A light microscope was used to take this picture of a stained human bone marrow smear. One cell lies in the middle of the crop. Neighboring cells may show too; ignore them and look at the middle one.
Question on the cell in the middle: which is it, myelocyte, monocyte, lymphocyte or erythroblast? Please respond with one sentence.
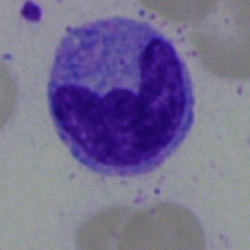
For this crop, the central cell is a monocyte.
